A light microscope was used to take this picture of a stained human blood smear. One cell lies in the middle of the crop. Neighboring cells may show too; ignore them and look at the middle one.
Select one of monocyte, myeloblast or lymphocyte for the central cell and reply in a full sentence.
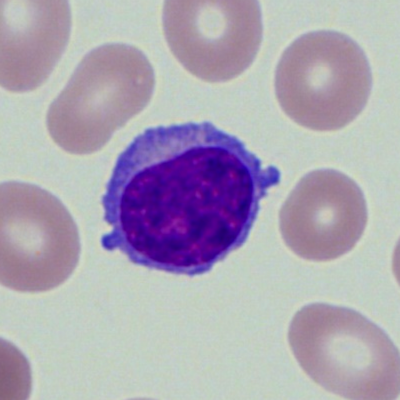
Present in the middle of the crop is a lymphocyte.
